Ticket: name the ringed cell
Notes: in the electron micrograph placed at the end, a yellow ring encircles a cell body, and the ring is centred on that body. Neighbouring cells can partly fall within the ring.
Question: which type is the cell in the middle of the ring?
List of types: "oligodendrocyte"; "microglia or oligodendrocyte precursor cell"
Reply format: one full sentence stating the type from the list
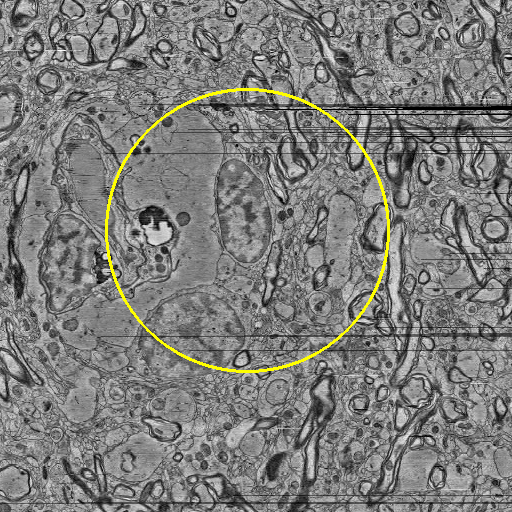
The cell sitting at the centre of the yellow ring is a microglial cell or oligodendrocyte precursor cell.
